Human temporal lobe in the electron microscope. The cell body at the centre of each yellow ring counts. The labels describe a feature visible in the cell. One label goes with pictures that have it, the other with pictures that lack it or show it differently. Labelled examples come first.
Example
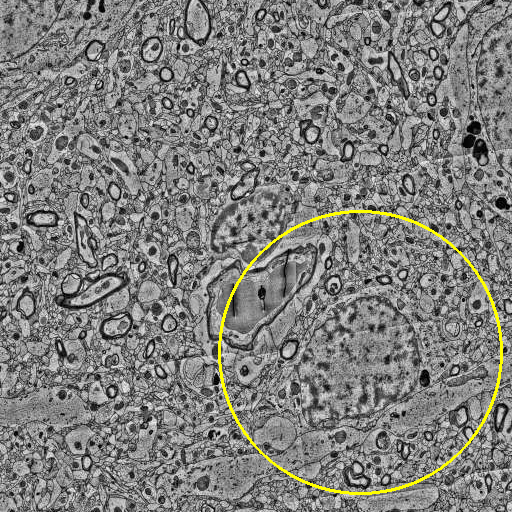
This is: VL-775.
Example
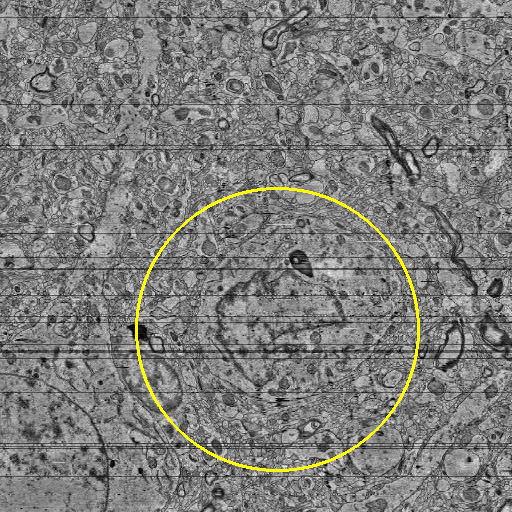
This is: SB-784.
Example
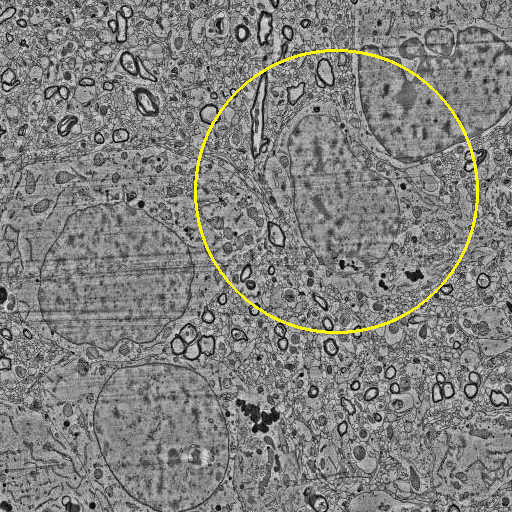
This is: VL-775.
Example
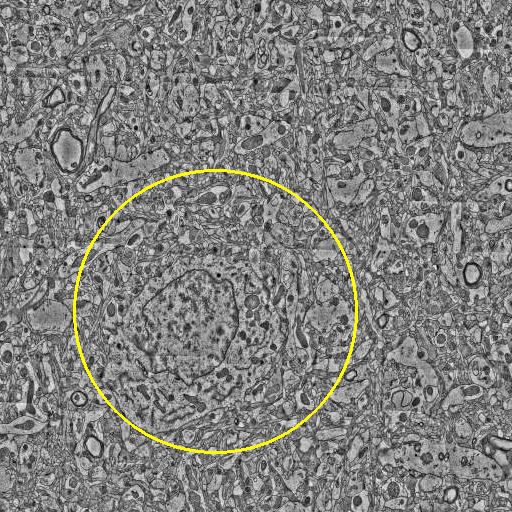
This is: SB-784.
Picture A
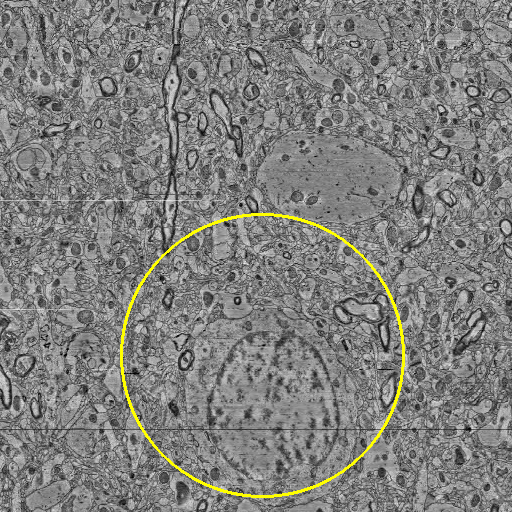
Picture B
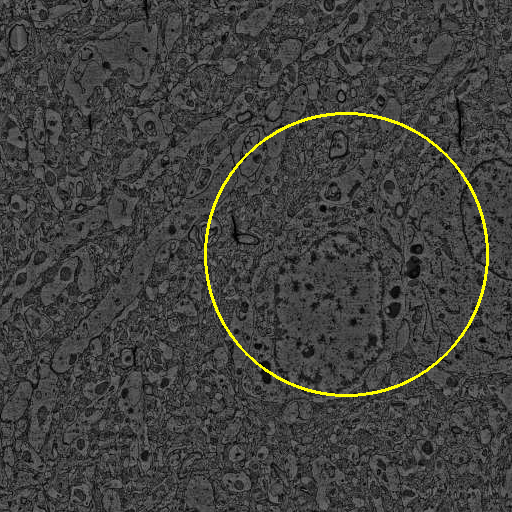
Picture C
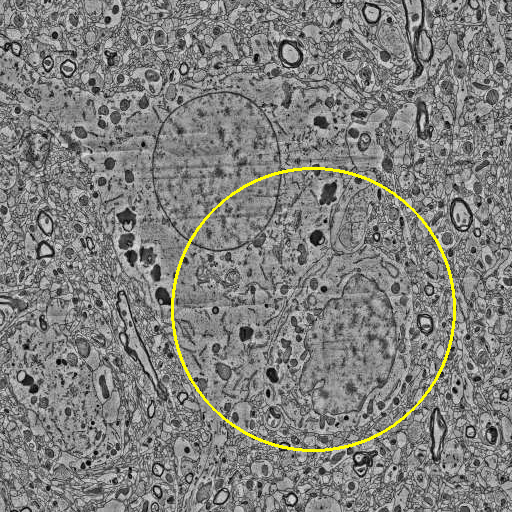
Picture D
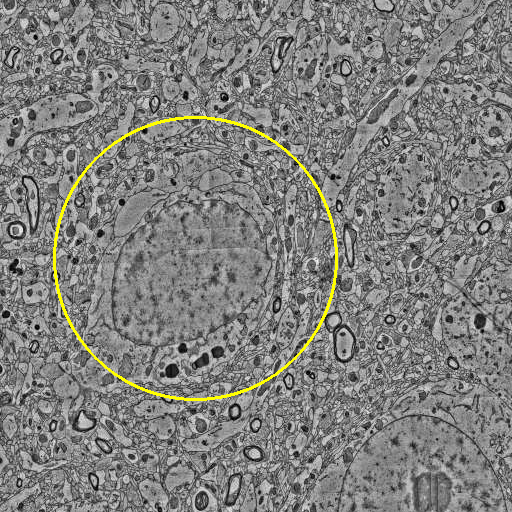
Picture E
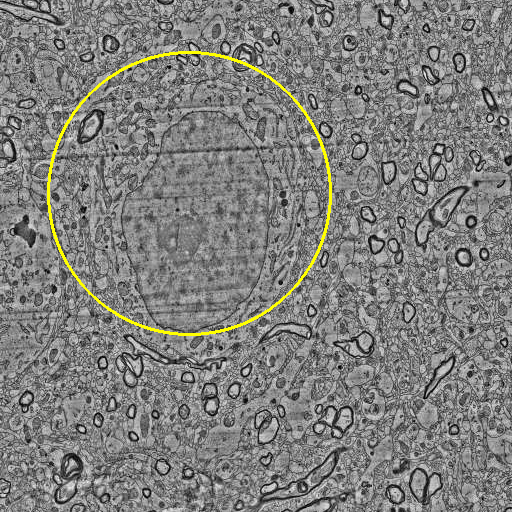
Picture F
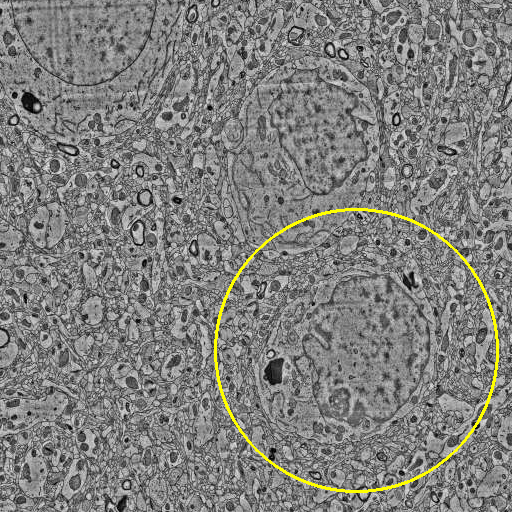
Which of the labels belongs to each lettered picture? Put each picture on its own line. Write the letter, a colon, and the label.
A: VL-775.
B: VL-775.
C: SB-784.
D: VL-775.
E: VL-775.
F: SB-784.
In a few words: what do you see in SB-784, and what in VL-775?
Seen in SB-784: deeply folded or indented nuclear envelopes; seen in VL-775: smooth nuclear envelopes without deep folds.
